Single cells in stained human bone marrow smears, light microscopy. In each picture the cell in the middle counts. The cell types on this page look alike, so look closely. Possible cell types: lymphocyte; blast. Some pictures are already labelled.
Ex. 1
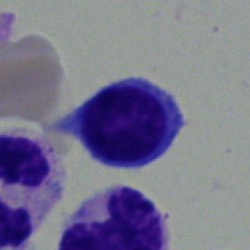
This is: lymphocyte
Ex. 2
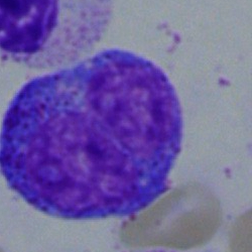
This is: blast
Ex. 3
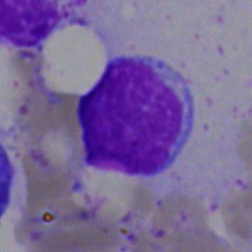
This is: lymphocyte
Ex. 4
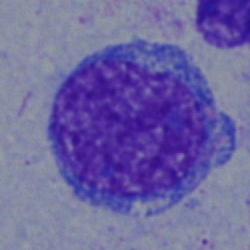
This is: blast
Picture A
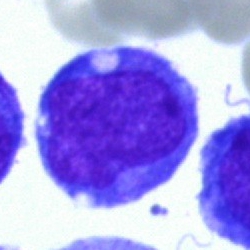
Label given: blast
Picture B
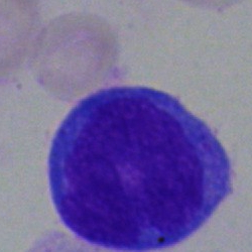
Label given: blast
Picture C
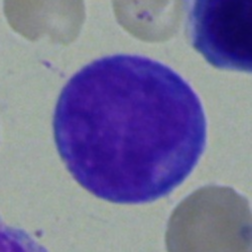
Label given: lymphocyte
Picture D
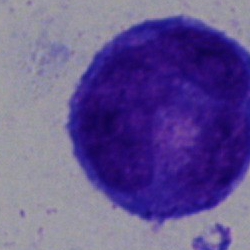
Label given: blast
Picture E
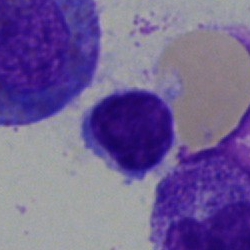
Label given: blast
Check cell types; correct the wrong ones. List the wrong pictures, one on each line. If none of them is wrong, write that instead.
C: not lymphocyte but blast
E: not blast but lymphocyte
